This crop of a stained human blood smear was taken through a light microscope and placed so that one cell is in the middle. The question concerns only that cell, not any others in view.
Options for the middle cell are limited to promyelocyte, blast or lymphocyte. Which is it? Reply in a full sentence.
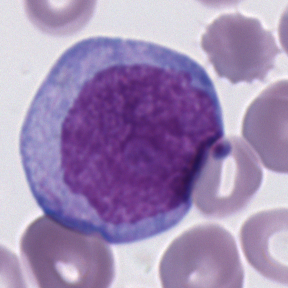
The middle of this crop is occupied by a promyelocyte.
